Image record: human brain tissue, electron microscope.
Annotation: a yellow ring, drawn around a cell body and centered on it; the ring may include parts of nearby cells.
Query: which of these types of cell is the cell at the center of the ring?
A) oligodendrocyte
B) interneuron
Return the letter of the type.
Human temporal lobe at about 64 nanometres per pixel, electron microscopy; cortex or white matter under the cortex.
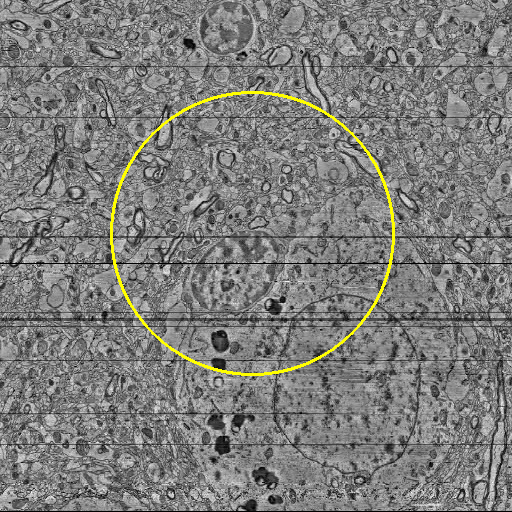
A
